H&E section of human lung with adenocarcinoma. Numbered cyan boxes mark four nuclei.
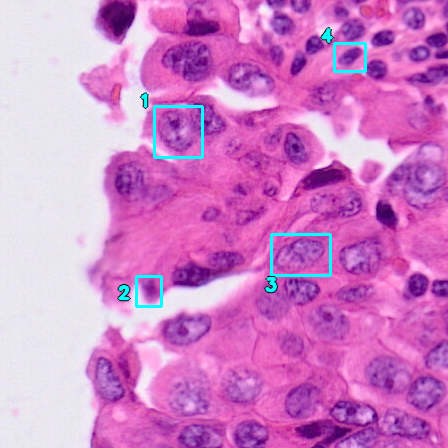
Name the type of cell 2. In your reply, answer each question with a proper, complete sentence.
Heads up, the cell numbered 2 is a carcinoma cell.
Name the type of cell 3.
Number 3 is placed on a carcinoma cell here.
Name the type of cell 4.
The correct answer for cell 4 is a lymphocyte.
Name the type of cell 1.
Cell 1, among those numbered, is a carcinoma cell.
